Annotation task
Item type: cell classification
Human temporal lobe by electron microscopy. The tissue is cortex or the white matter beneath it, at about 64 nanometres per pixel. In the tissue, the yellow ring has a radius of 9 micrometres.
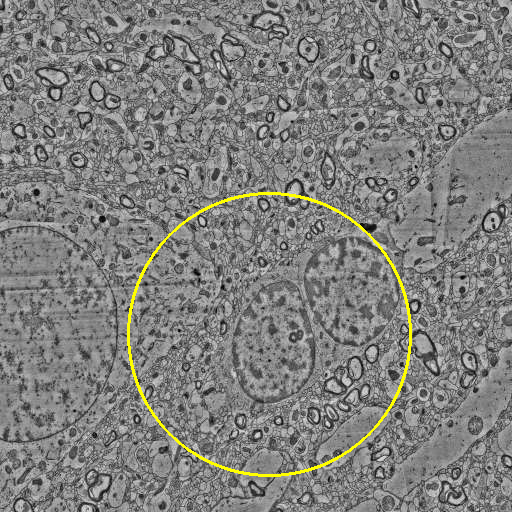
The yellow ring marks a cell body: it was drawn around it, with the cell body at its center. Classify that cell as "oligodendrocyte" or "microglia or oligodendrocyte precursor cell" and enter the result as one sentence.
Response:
The ring's center falls on an oligodendrocyte.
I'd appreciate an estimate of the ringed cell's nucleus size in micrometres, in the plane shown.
The nucleus comes to roughly 8 by 5 micrometres in this plane.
